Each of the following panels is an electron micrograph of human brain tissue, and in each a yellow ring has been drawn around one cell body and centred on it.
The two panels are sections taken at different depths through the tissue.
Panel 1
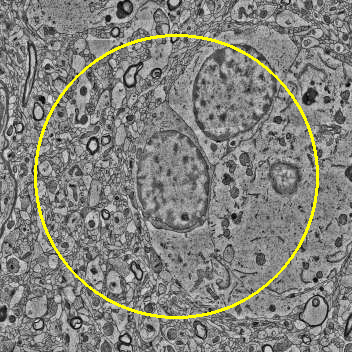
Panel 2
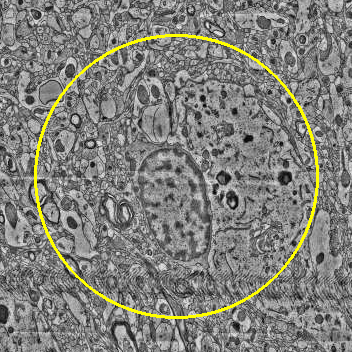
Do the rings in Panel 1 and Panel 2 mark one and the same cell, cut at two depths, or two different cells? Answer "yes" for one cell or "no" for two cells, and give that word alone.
no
